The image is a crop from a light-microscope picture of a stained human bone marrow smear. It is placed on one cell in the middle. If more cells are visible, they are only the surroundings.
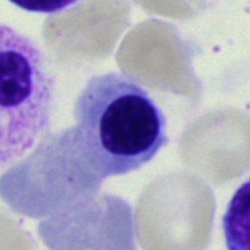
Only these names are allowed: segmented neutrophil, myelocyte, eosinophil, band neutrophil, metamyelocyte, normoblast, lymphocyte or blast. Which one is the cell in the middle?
normoblast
